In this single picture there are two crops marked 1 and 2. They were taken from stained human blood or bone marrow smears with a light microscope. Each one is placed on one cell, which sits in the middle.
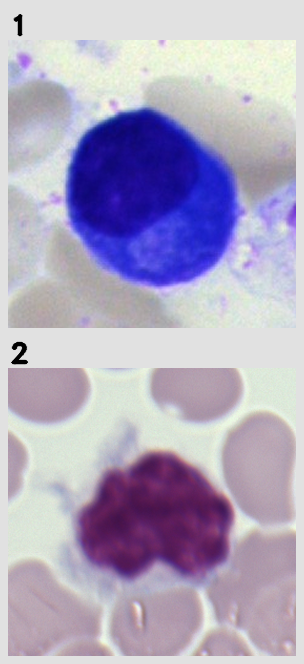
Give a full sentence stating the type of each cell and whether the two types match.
No, the central cell of crop 1 is a plasma cell; that of crop 2 is a hairy cell.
